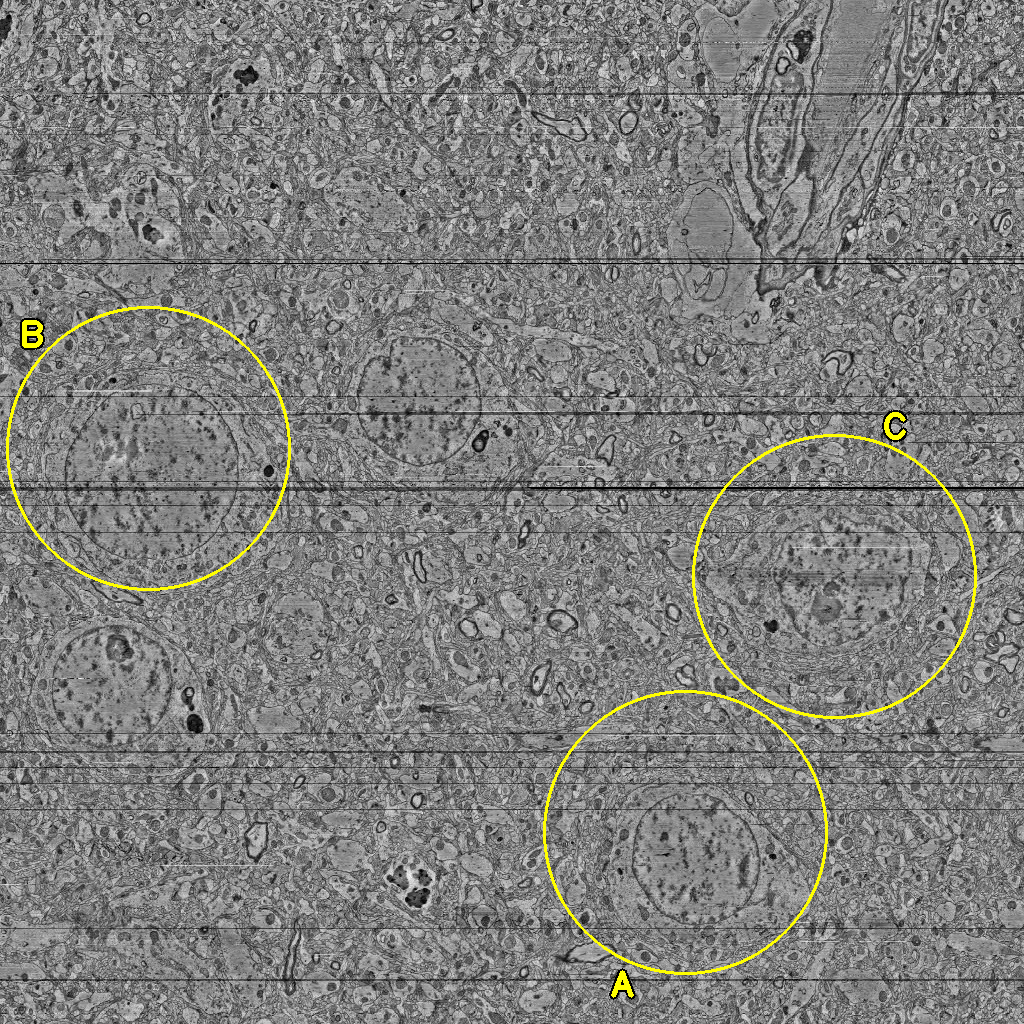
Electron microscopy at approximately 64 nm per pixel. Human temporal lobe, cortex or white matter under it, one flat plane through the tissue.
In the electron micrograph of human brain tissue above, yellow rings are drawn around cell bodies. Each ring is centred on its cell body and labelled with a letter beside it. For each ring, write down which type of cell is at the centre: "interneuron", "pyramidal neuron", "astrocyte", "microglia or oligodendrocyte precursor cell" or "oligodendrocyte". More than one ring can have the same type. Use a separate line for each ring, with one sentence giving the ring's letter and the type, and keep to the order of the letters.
At the centre of ring A there is a pyramidal neuron.
At the centre of ring B there is a pyramidal neuron.
At the centre of ring C there is an interneuron.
